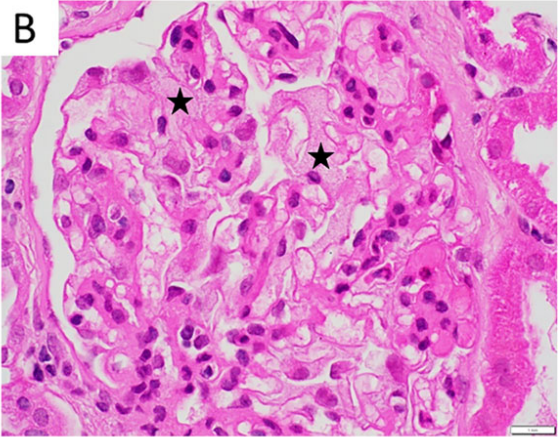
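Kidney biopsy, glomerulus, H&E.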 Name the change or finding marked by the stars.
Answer: Bubbly cytoplasm.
